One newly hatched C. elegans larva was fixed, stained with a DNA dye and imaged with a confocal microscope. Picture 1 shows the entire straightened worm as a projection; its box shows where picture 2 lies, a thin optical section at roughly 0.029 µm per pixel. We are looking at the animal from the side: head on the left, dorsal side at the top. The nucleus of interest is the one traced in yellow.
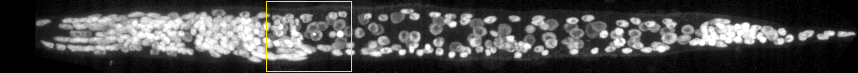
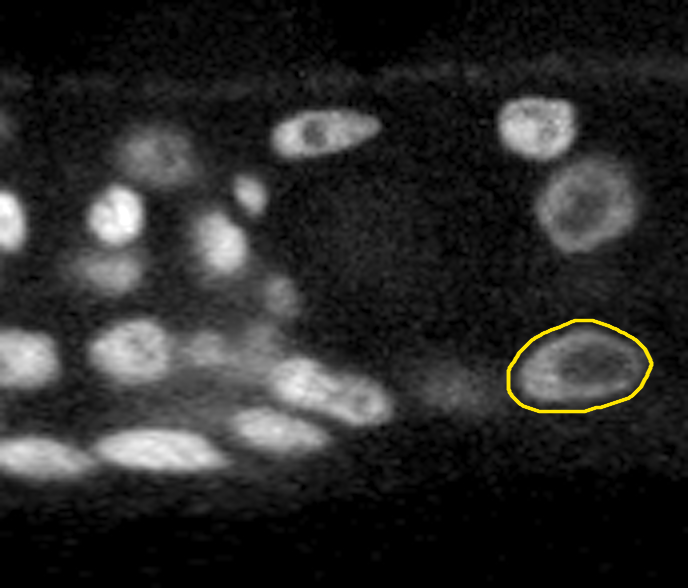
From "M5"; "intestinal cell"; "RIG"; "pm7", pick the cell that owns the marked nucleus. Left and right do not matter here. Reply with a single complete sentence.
The cell whose nucleus is marked is an intestinal cell.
